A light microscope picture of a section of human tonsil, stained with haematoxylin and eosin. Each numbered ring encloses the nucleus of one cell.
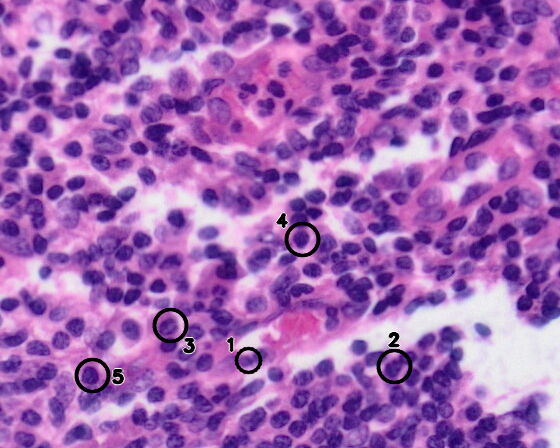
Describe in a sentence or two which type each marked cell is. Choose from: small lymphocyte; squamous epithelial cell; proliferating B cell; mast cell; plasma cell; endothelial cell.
Cell 1 is an endothelial cell, cell 2 is a small lymphocyte, cell 3 is a plasma cell, cell 4 is a small lymphocyte and cell 5 is a plasma cell.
